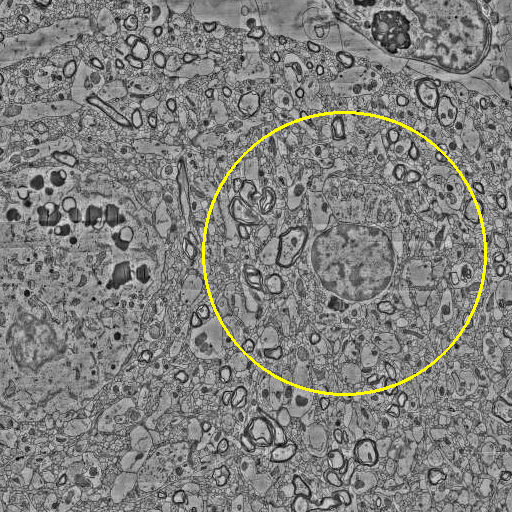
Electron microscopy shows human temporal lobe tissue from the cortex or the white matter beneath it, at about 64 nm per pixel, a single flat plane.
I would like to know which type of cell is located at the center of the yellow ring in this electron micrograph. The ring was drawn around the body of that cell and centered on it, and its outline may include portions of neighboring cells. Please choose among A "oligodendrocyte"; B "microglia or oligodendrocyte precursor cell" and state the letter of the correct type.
B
